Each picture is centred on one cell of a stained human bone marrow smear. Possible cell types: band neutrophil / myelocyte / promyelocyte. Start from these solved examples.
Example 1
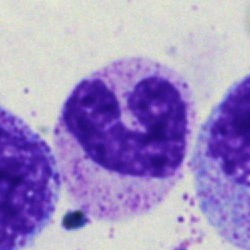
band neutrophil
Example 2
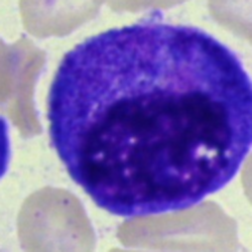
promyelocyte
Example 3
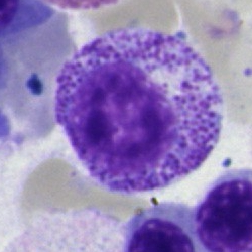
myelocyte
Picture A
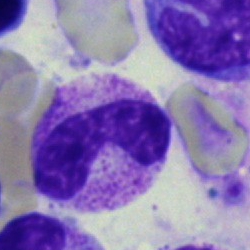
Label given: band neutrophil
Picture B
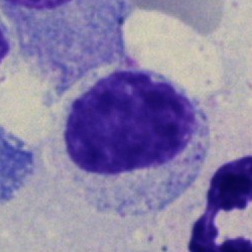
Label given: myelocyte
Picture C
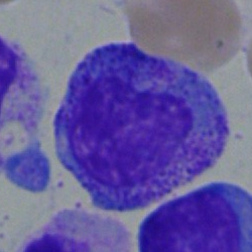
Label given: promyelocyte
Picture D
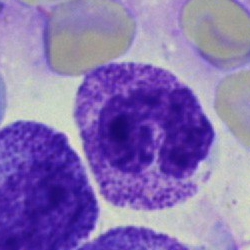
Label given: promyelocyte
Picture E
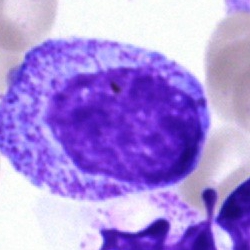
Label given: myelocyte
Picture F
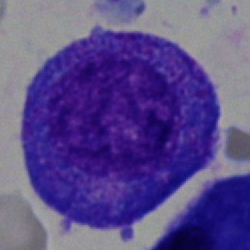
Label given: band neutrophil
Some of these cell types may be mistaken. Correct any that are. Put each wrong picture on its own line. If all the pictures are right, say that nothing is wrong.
Wrong: D (promyelocyte); correct: band neutrophil
Wrong: F (band neutrophil); correct: promyelocyte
